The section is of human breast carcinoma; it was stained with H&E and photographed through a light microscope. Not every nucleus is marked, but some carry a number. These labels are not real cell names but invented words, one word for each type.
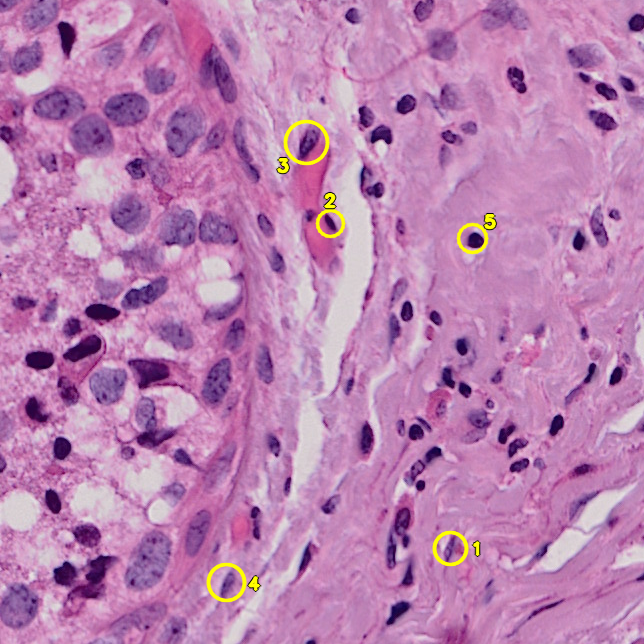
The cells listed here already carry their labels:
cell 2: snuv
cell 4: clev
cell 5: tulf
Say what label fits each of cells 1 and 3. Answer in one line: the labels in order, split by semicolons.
clev; snuv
